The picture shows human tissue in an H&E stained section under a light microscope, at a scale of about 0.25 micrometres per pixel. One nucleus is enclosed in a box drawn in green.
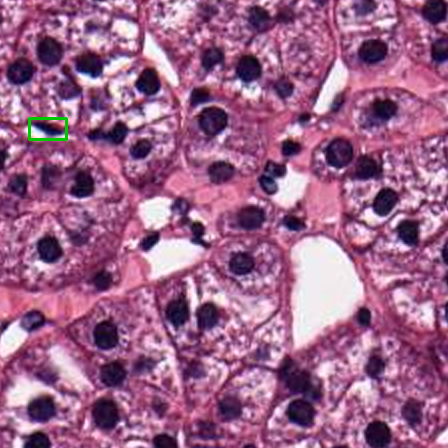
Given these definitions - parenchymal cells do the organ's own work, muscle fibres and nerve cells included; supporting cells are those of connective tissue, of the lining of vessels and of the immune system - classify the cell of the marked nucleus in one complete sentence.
Among the cells in view, a supporting cell holds the marked nucleus.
